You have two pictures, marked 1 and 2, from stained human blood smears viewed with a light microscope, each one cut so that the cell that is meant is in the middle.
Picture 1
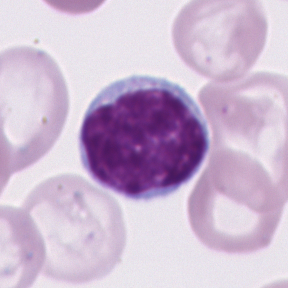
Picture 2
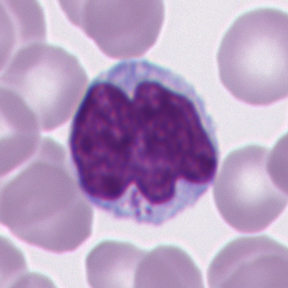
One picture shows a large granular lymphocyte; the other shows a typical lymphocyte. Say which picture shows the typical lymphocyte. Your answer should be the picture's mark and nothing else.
1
